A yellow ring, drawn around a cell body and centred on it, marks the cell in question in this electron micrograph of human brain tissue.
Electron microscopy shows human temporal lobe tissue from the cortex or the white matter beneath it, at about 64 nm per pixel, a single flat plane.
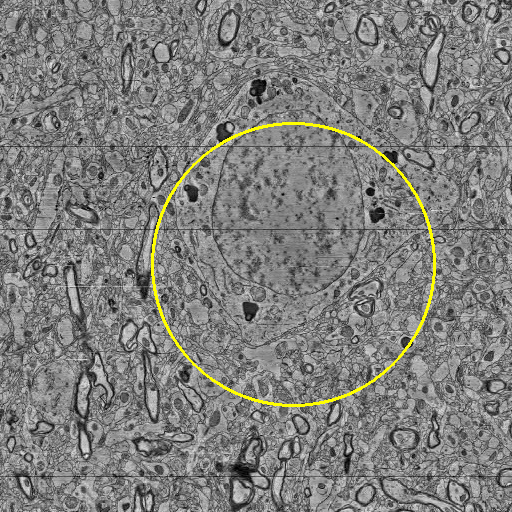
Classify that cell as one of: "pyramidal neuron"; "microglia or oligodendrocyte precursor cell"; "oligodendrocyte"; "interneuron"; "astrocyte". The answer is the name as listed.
pyramidal neuron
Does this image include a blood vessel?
No.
